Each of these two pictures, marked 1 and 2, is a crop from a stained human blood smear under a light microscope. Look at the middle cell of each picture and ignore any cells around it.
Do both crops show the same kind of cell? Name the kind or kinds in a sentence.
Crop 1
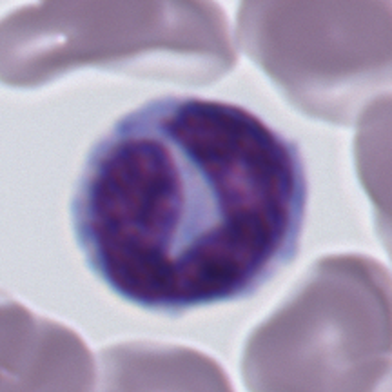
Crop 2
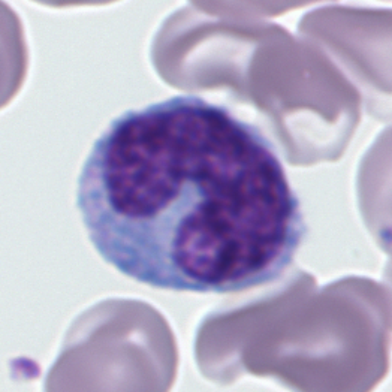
Yes, monocytes occupy the centre of both crops.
